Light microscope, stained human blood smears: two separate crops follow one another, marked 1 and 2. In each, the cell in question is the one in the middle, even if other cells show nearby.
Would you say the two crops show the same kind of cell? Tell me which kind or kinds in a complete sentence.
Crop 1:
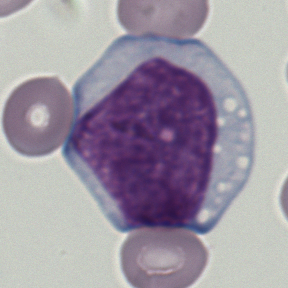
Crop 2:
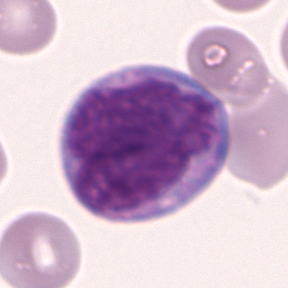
No, the cell in crop 1 is a myeloblast and the one in crop 2 is an atypical promyelocyte.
